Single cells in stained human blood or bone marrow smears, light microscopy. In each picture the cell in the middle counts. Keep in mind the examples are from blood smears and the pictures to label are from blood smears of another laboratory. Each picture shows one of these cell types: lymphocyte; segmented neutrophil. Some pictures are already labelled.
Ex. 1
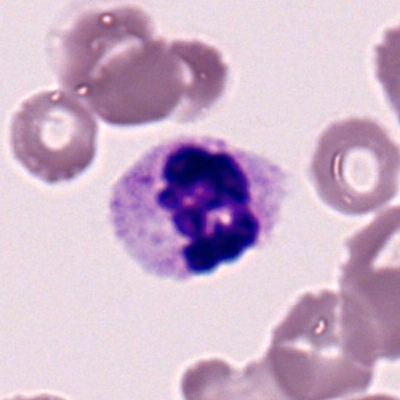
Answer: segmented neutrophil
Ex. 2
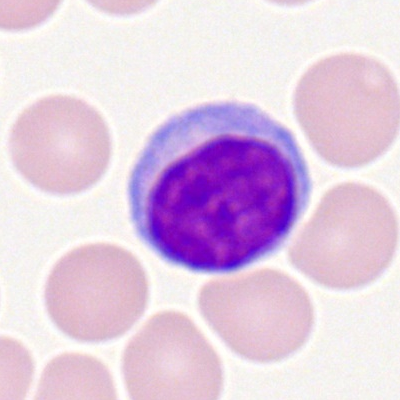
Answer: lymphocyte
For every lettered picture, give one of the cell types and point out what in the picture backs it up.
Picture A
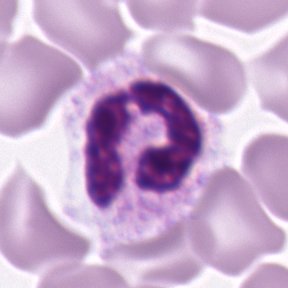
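segmented neutrophil: The nucleus is a curved band wrapped around a pale central patch of cytoplasm.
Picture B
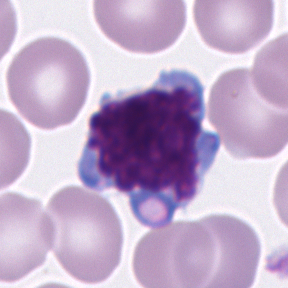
lymphocyte: The cytoplasm is scant, forming only a thin, patchy rim around the nucleus.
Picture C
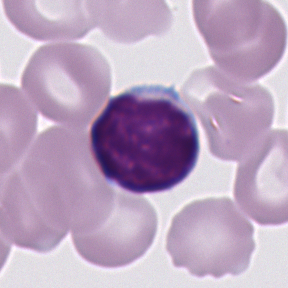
lymphocyte: The cytoplasm forms only a thin rim around the nucleus.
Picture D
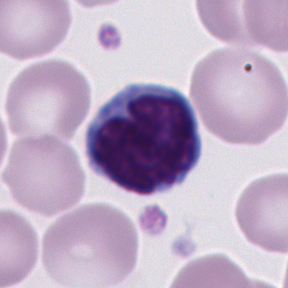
lymphocyte: The cytoplasm forms a thin blue rim, widest at the upper left.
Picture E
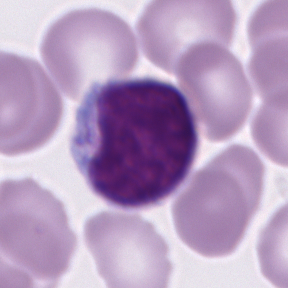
lymphocyte: The cytoplasm shows only as a narrow crescent on the left side of the cell.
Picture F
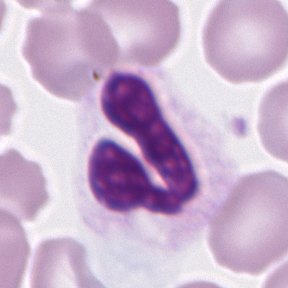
segmented neutrophil: The nucleus is folded into two main lobes separated by a narrow cleft.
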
